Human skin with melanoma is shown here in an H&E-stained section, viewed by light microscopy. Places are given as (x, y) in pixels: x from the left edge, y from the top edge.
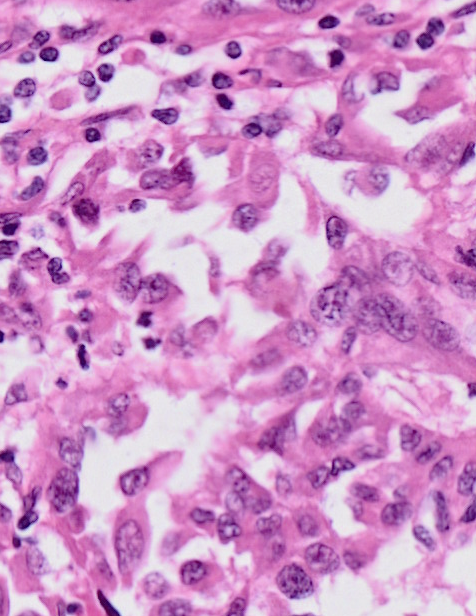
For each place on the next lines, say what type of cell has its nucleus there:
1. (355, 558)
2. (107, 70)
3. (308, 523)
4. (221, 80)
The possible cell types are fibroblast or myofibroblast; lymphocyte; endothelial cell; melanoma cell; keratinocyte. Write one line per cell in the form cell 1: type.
cell 1: melanoma cell
cell 2: lymphocyte
cell 3: melanoma cell
cell 4: lymphocyte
